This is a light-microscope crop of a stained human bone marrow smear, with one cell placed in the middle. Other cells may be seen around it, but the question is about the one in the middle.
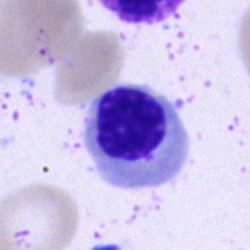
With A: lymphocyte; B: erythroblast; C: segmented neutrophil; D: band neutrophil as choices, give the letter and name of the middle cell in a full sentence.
Option B is correct, naming the cell in the middle as an erythroblast.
